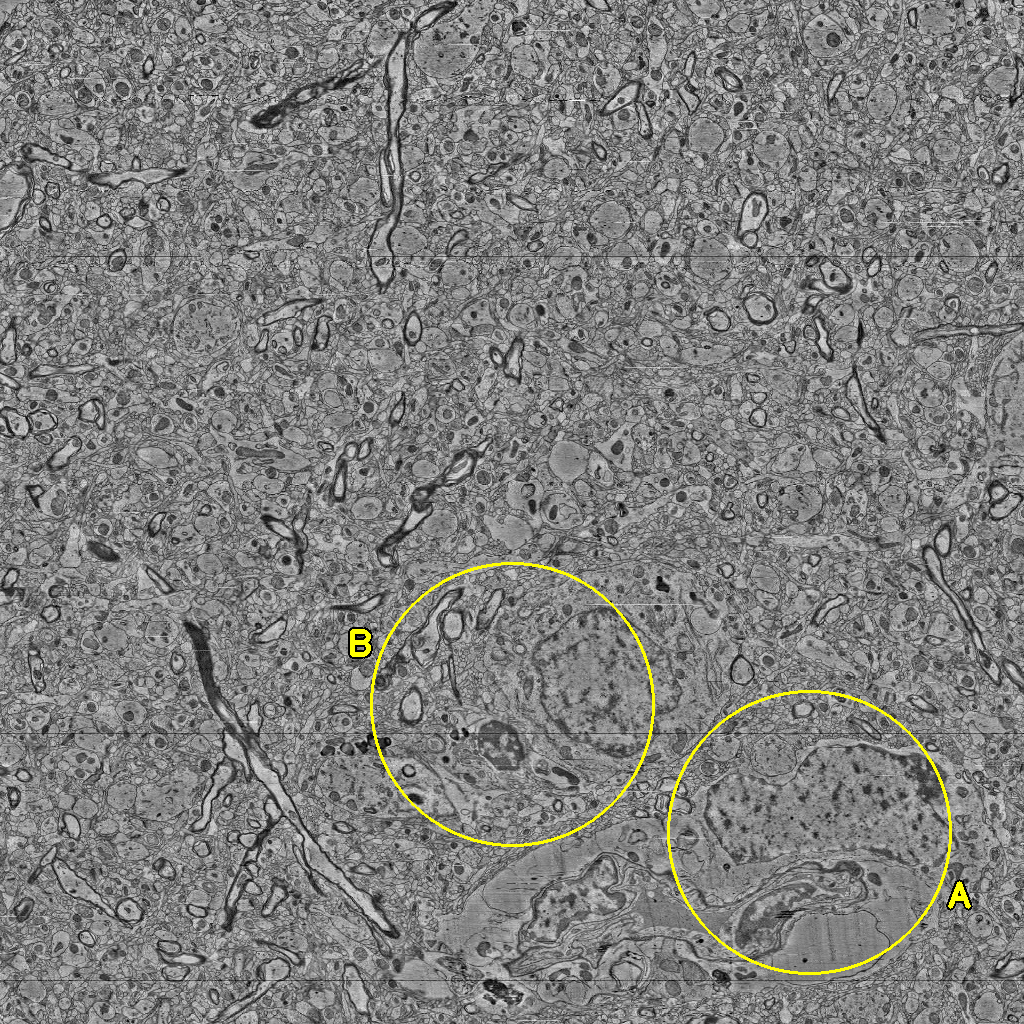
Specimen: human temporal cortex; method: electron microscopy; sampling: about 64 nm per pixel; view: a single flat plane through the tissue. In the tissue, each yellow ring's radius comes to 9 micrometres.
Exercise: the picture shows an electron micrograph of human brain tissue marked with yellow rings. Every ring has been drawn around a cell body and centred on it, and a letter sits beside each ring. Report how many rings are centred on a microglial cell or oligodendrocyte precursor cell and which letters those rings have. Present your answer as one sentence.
In the micrograph, two rings with the letters A and B are each centred on a microglial cell or oligodendrocyte precursor cell.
